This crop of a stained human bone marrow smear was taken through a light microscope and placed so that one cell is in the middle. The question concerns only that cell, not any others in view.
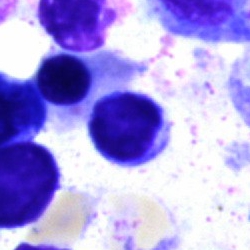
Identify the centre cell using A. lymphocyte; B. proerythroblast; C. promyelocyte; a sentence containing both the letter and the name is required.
Identified correctly by option A, the cell in the middle is a lymphocyte.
